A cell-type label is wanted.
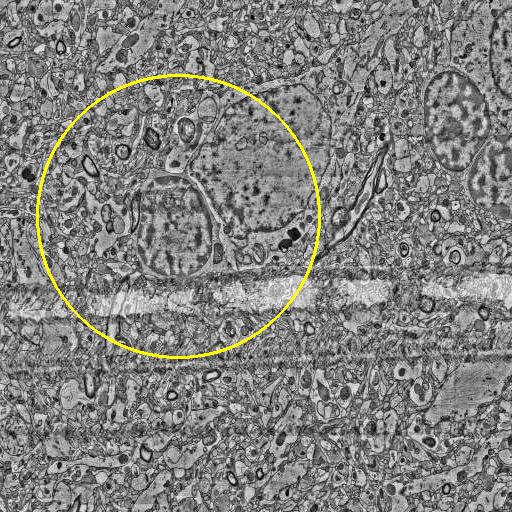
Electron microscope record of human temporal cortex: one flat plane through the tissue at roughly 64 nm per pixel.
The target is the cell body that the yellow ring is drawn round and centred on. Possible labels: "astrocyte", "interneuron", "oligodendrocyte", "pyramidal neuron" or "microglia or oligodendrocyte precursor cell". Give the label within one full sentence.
Of the labels offered, the cell in the middle of the yellow ring is an oligodendrocyte.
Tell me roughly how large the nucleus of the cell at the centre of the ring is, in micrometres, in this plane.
The nucleus works out at approximately 7 by 5 micrometres in this plane.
